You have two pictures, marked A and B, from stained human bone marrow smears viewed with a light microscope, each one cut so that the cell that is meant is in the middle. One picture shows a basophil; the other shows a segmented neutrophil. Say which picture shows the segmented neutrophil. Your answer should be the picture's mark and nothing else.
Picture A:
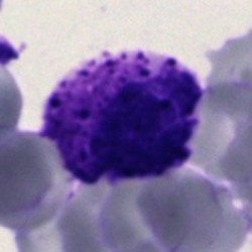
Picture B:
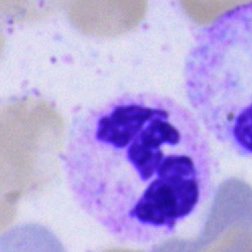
B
